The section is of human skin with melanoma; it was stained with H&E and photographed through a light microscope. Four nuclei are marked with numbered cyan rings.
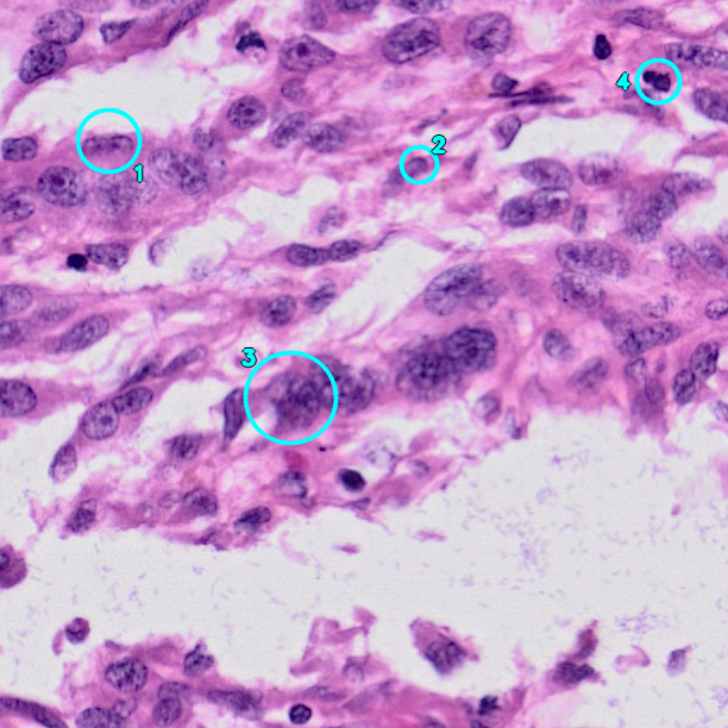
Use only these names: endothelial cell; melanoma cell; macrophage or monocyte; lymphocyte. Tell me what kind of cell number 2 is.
macrophage or monocyte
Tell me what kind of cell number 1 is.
melanoma cell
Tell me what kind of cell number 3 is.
melanoma cell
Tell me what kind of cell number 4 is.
lymphocyte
